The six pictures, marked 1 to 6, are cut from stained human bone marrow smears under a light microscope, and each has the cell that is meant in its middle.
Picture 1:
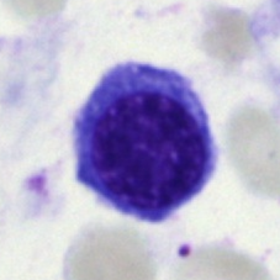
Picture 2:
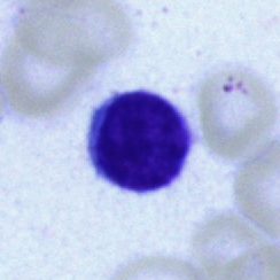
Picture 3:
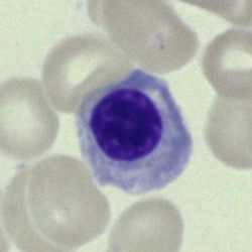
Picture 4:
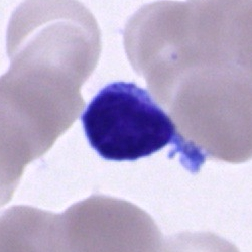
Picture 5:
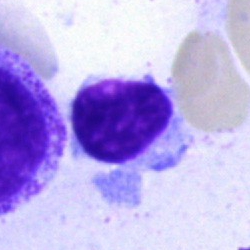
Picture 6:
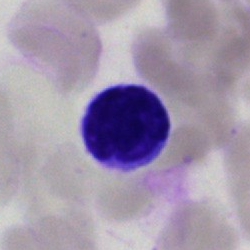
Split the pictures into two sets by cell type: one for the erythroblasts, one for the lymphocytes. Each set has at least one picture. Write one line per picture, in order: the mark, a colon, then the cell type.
1: erythroblast
2: lymphocyte
3: erythroblast
4: lymphocyte
5: lymphocyte
6: lymphocyte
